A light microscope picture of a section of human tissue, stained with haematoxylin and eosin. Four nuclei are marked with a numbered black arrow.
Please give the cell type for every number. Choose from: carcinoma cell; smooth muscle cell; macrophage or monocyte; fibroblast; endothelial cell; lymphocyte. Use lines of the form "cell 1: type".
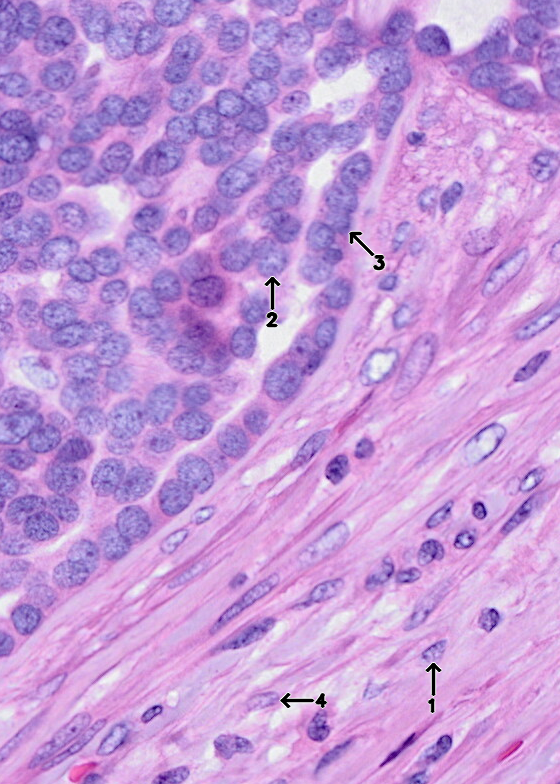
cell 1: fibroblast
cell 2: carcinoma cell
cell 3: carcinoma cell
cell 4: fibroblast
